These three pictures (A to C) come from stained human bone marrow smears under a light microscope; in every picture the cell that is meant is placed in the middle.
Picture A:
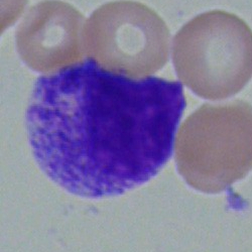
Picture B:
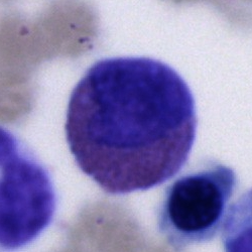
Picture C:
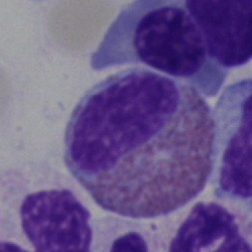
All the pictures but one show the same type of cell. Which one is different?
A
